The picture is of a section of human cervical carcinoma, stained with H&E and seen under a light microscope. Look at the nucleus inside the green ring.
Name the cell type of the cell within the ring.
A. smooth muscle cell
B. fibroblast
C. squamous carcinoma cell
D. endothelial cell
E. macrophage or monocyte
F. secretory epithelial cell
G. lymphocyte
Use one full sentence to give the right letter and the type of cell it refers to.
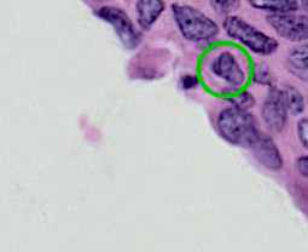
According to option C, the cell within the ring is a squamous carcinoma cell, and this is correct.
